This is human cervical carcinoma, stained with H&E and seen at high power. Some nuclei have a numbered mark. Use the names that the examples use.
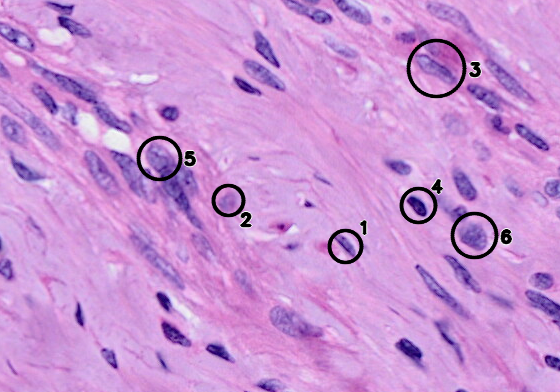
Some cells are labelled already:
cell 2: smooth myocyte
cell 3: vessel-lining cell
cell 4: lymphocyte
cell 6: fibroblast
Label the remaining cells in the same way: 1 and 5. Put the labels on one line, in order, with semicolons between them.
fibroblast; vessel-lining cell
